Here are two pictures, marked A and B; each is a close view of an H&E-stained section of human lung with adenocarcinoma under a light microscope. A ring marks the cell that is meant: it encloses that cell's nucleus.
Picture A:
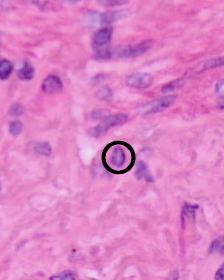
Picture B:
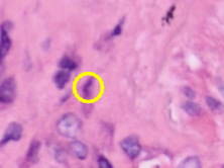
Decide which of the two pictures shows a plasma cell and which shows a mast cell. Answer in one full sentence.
The cell in picture A is a mast cell, and the one in picture B is a plasma cell.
